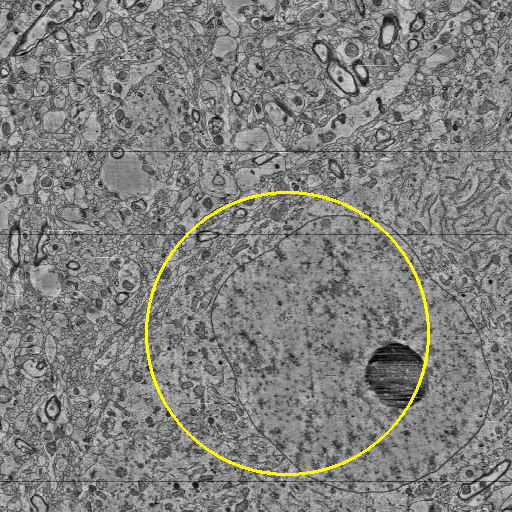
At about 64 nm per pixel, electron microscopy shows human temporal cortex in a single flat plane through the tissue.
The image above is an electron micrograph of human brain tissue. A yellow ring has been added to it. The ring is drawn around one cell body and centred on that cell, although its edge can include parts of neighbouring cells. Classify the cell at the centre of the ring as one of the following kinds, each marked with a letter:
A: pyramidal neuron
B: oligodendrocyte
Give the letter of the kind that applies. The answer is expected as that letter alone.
A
